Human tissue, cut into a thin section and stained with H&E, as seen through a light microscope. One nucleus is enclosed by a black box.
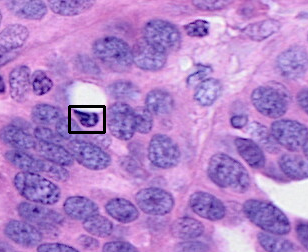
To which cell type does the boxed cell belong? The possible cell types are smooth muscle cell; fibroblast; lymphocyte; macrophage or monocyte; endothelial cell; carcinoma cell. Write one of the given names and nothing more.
lymphocyte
